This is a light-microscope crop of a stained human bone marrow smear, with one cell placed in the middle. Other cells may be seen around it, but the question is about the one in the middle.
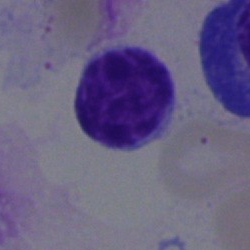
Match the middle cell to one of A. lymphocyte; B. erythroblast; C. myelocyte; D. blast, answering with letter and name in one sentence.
Option A holds, for the cell in the middle is a lymphocyte.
